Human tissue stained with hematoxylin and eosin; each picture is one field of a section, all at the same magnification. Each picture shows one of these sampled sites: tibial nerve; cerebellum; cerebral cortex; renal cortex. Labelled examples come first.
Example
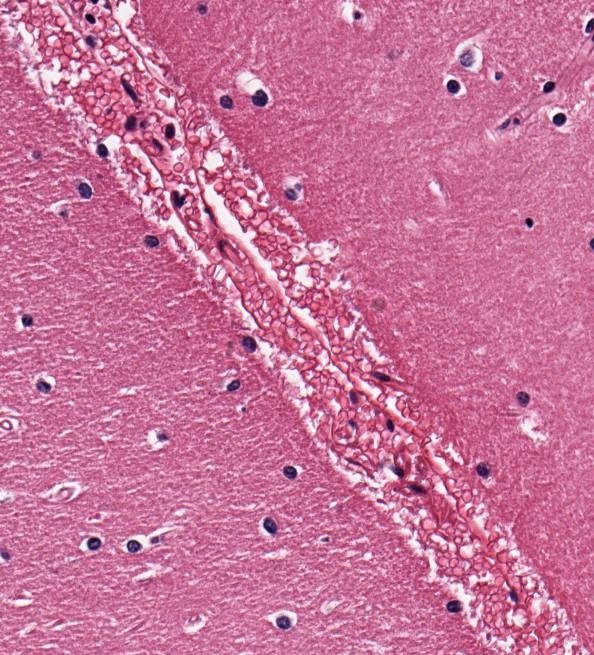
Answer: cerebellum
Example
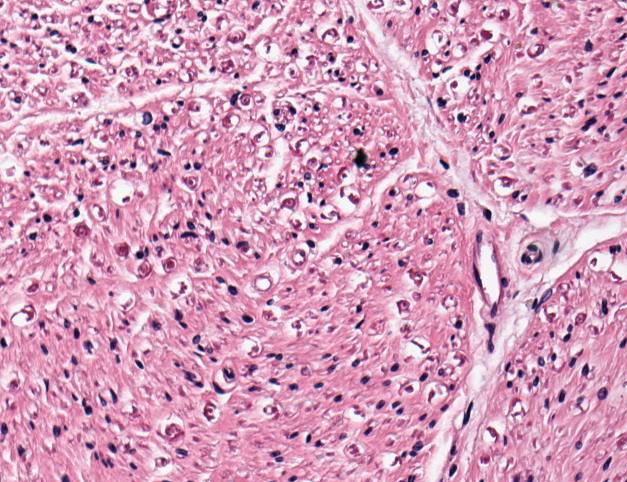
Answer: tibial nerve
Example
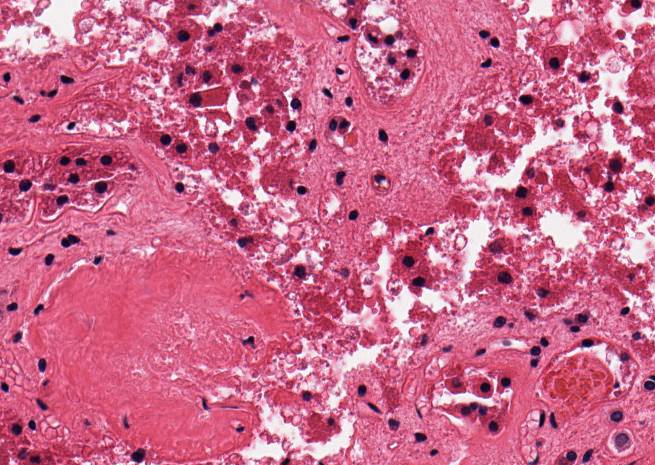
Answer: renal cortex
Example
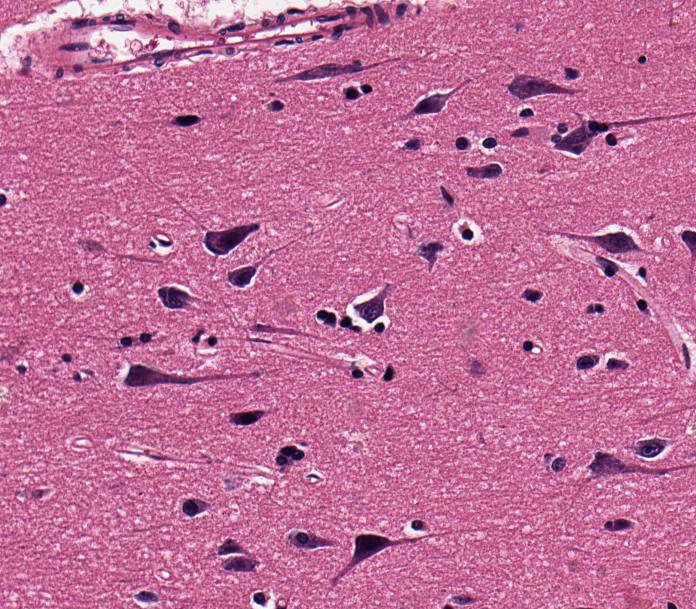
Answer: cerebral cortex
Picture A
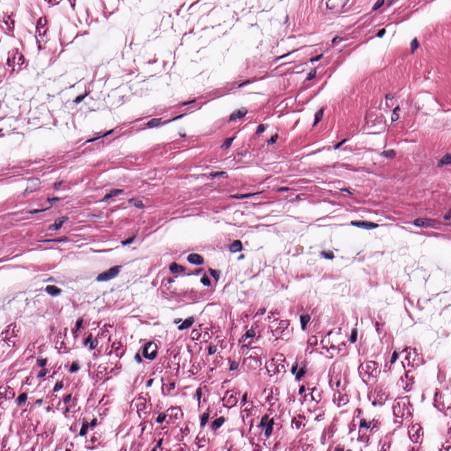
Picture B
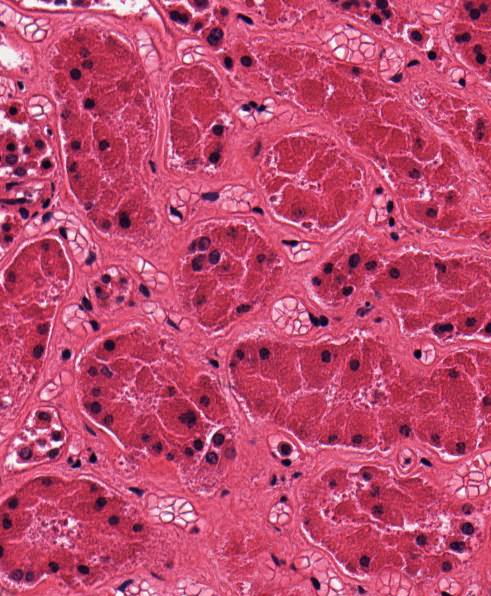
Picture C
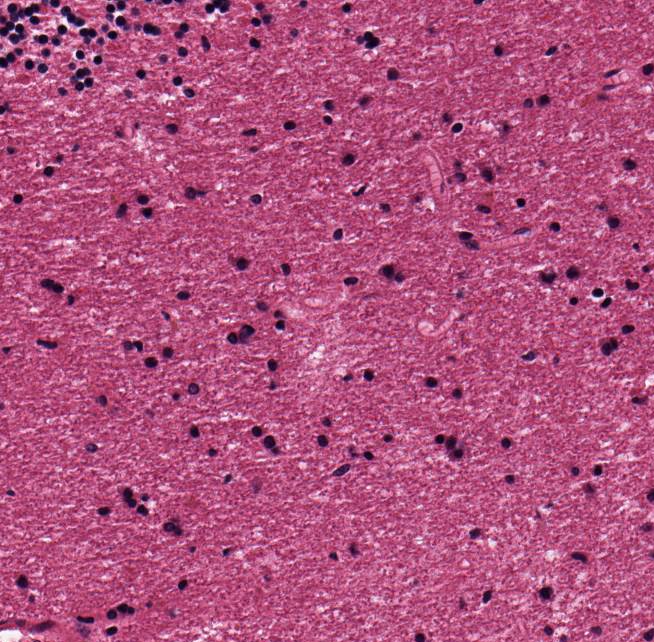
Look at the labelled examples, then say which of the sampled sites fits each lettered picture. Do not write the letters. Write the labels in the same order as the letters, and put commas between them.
tibial nerve, renal cortex, cerebellum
